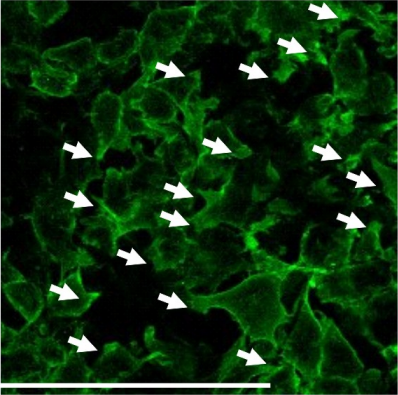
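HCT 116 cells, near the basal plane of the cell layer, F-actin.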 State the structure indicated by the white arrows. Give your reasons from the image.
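The arrows point to bright green protrusions at cell margins. The answer: cryptic lamellipodia.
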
